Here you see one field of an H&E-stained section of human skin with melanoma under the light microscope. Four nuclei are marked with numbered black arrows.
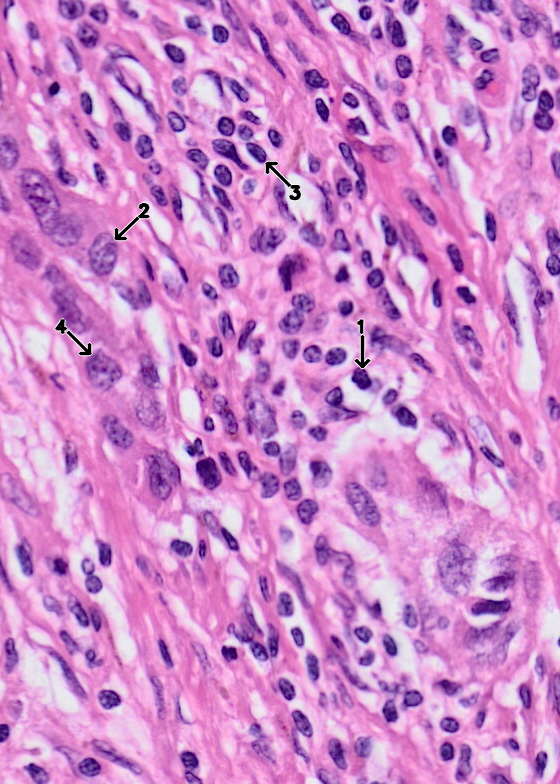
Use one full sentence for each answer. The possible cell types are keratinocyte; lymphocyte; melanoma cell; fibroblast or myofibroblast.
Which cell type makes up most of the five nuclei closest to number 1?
Most of the five nuclei nearest to number 1 are those of lymphocytes.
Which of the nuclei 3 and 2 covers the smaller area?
Nucleus 3 covers less area, with nucleus 2 about 3 times as large.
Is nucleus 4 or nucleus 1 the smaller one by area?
Nucleus 1 covers less area, with nucleus 4 about 2.5 times as large.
